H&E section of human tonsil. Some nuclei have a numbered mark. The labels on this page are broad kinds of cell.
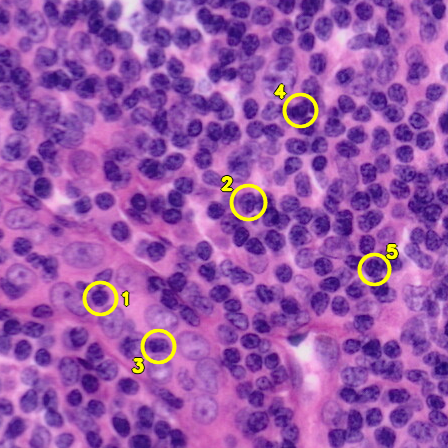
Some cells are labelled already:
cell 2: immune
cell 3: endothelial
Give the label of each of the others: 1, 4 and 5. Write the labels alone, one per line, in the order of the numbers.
endothelial
immune
immune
